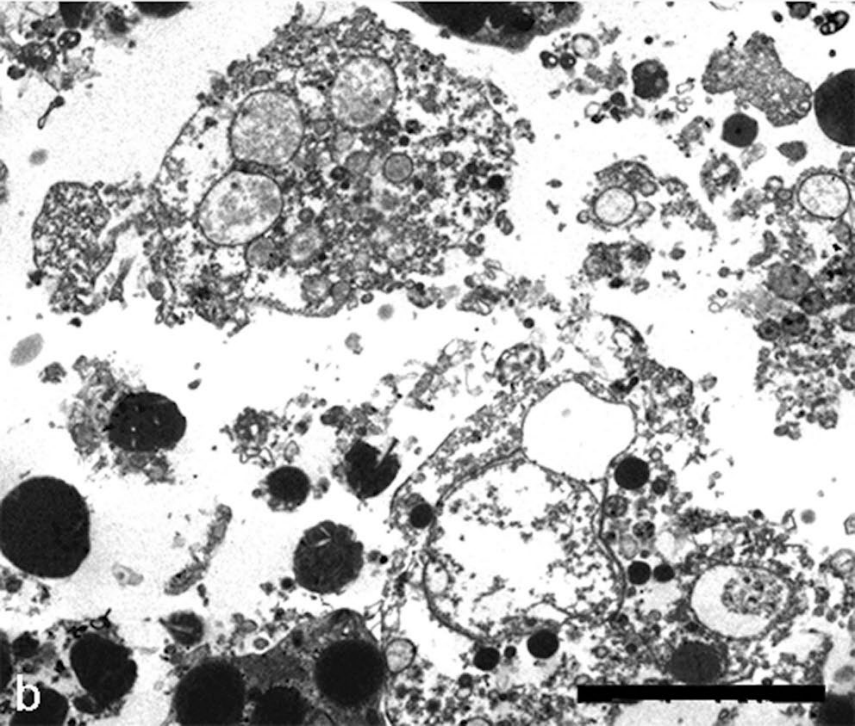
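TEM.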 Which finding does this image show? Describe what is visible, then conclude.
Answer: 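Cells have fallen apart into loose fragments of cytoplasm. Membrane-bound vesicles and dark dense bodies lie scattered outside any intact cell. No continuous cell outline surrounds the remnants.
Total cell lysis.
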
